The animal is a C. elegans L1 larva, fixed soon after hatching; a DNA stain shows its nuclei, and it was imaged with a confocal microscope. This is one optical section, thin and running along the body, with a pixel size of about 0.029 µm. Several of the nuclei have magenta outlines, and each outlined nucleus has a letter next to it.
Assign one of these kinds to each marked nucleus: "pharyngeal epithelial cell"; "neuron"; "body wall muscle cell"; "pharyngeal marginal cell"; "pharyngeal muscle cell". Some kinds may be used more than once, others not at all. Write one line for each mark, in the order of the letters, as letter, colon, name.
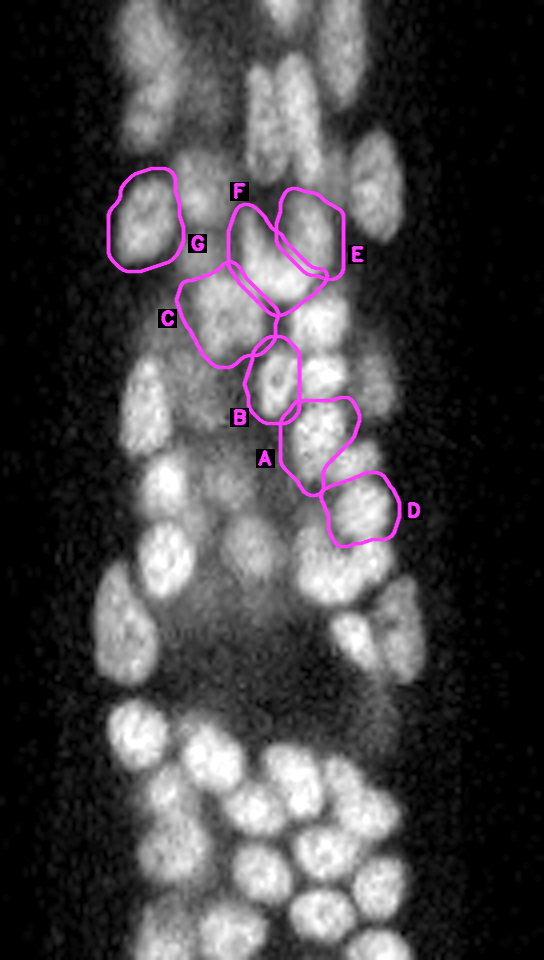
A: neuron
B: pharyngeal muscle cell
C: pharyngeal marginal cell
D: neuron
E: neuron
F: pharyngeal muscle cell
G: body wall muscle cell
